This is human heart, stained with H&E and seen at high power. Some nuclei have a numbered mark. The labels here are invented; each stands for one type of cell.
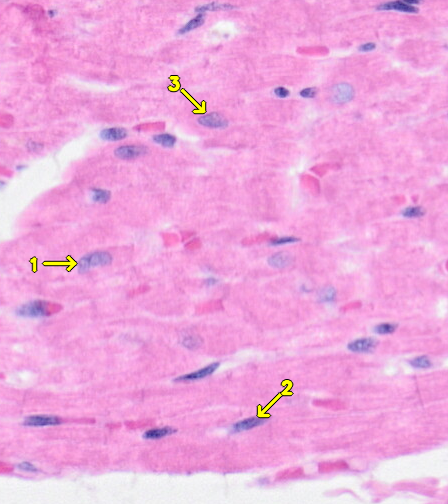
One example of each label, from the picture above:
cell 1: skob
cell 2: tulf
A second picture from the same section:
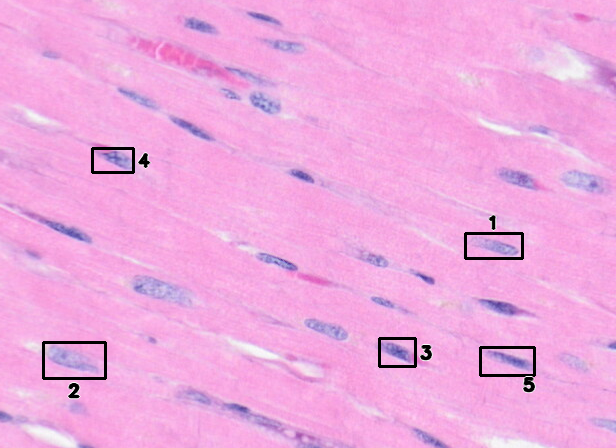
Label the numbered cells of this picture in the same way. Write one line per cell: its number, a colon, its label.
1: skob
2: skob
3: tulf
4: tulf
5: tulf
